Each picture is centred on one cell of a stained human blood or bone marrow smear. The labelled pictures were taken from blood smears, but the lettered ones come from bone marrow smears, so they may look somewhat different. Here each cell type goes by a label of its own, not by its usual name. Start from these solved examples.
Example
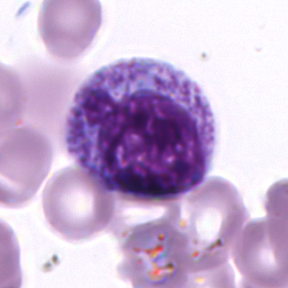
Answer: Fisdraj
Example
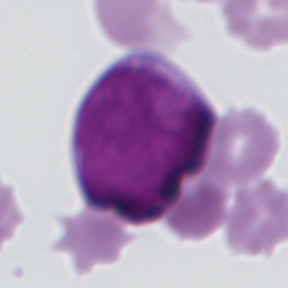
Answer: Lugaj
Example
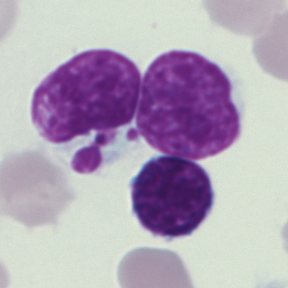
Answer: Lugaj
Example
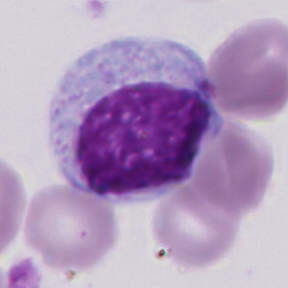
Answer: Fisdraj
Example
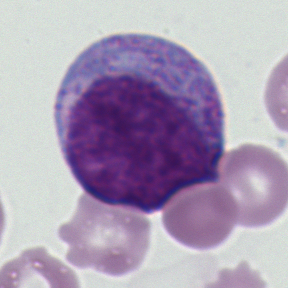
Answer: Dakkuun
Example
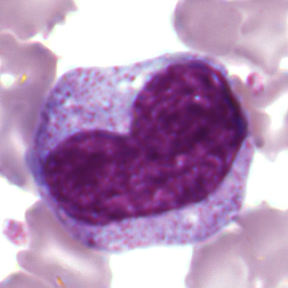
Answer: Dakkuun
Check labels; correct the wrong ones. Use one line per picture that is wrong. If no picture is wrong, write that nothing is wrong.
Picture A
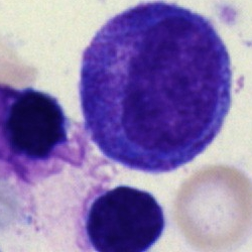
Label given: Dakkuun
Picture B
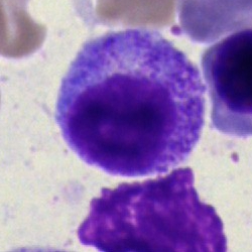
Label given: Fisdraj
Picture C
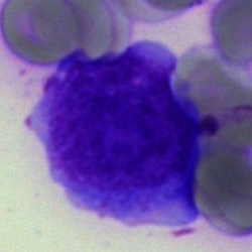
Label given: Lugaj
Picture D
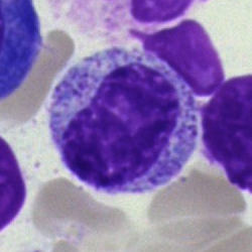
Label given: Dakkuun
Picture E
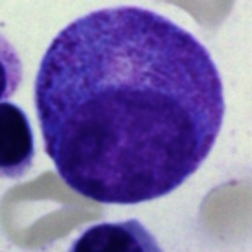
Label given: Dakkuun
D should be Fisdraj, not Dakkuun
